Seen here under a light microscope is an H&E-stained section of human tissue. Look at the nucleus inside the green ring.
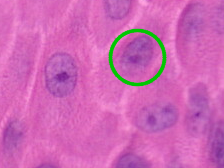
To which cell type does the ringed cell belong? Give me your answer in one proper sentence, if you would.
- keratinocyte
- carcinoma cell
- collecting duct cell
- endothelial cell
The cell type represented by the ringed cell is that of a keratinocyte.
